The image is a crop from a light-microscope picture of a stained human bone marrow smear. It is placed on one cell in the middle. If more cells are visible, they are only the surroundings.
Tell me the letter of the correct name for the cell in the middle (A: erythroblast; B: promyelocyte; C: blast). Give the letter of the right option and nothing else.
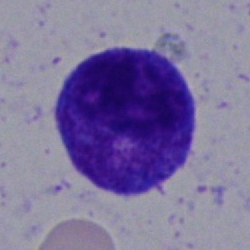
B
